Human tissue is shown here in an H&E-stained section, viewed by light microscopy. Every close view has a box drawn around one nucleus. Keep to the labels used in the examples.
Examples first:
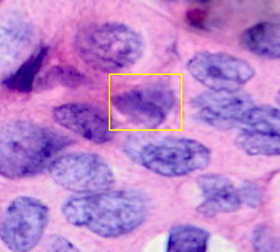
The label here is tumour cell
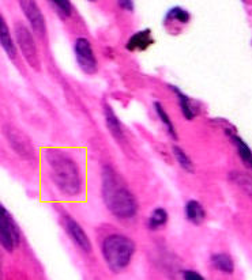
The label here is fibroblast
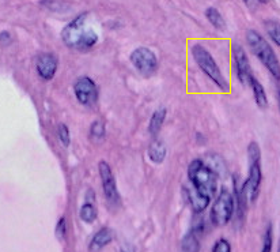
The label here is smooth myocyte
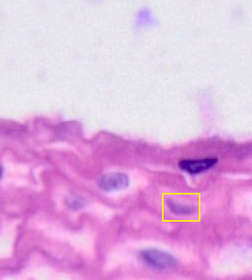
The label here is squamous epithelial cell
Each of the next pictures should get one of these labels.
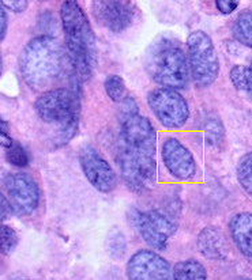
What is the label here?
tumour cell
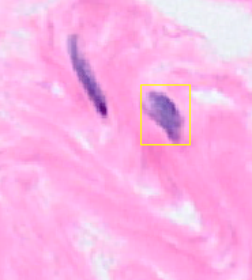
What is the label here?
fibroblast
